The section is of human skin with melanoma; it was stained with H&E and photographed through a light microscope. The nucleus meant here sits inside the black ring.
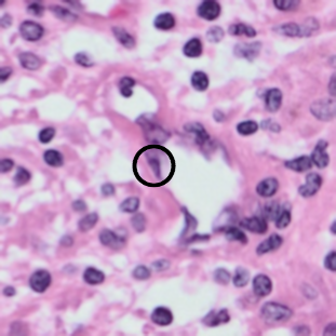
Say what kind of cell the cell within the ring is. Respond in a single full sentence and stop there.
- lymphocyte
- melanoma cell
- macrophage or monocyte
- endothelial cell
Cytologically, the cell within the ring is to be regarded as an endothelial cell.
